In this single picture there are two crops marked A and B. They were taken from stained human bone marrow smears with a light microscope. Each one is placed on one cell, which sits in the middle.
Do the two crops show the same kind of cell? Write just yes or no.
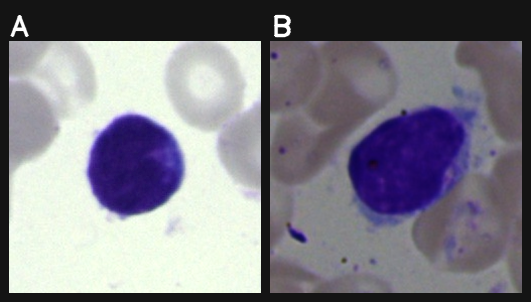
no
